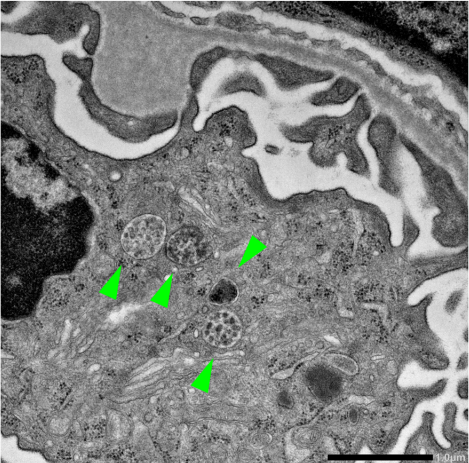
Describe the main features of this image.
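A podocyte is shown at high magnification, with part of its dense nucleus at the left edge and foot processes resting on the glomerular basement membrane along the top. The cytoplasm holds Golgi stacks and several small round endosomes filled with tiny internal vesicles, lying close together near the centre.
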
